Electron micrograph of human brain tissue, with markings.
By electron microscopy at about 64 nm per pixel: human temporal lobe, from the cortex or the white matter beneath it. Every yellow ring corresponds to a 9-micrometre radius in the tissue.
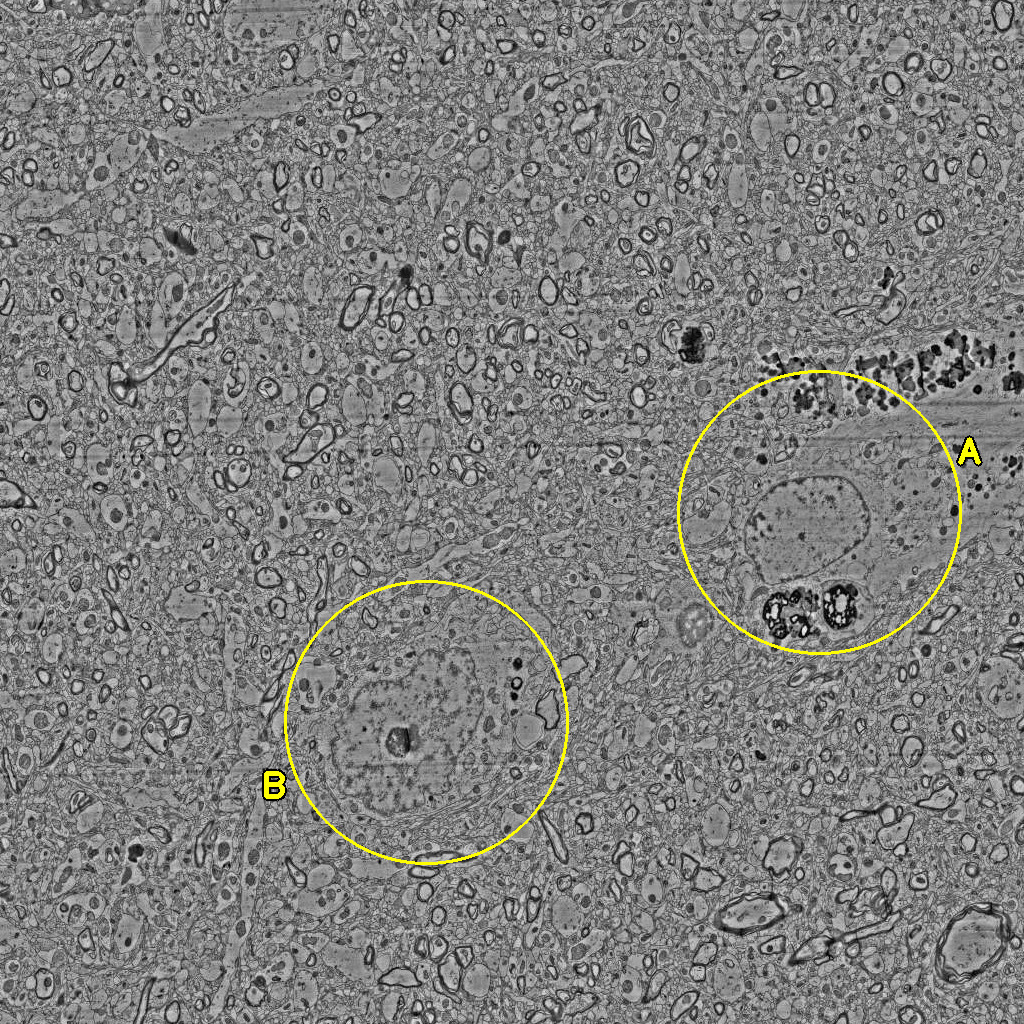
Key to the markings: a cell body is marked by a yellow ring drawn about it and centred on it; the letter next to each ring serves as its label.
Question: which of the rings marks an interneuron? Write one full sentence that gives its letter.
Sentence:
In this picture, the ring marking that kind of cell has the letter B.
